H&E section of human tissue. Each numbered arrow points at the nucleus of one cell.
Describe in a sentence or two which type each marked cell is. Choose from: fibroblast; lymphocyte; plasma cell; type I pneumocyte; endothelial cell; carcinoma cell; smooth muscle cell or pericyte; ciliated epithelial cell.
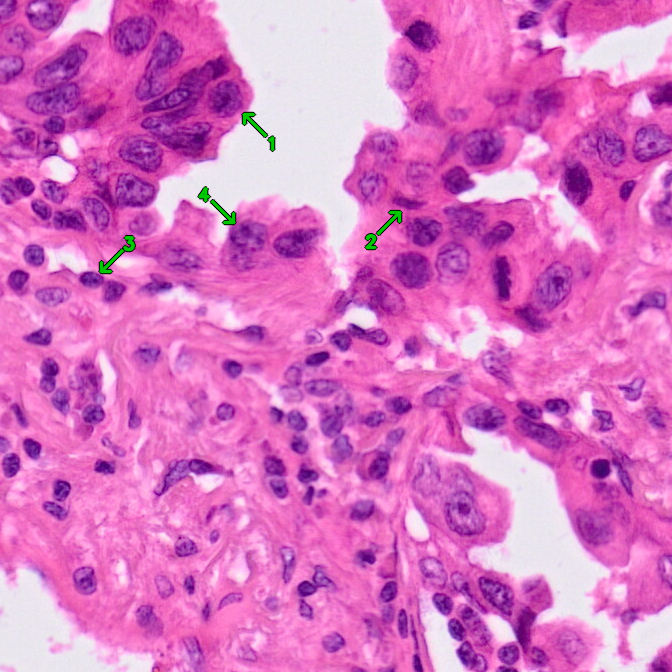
Cells 1, 2 and 4 are carcinoma cells. Cell 3 is a lymphocyte.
